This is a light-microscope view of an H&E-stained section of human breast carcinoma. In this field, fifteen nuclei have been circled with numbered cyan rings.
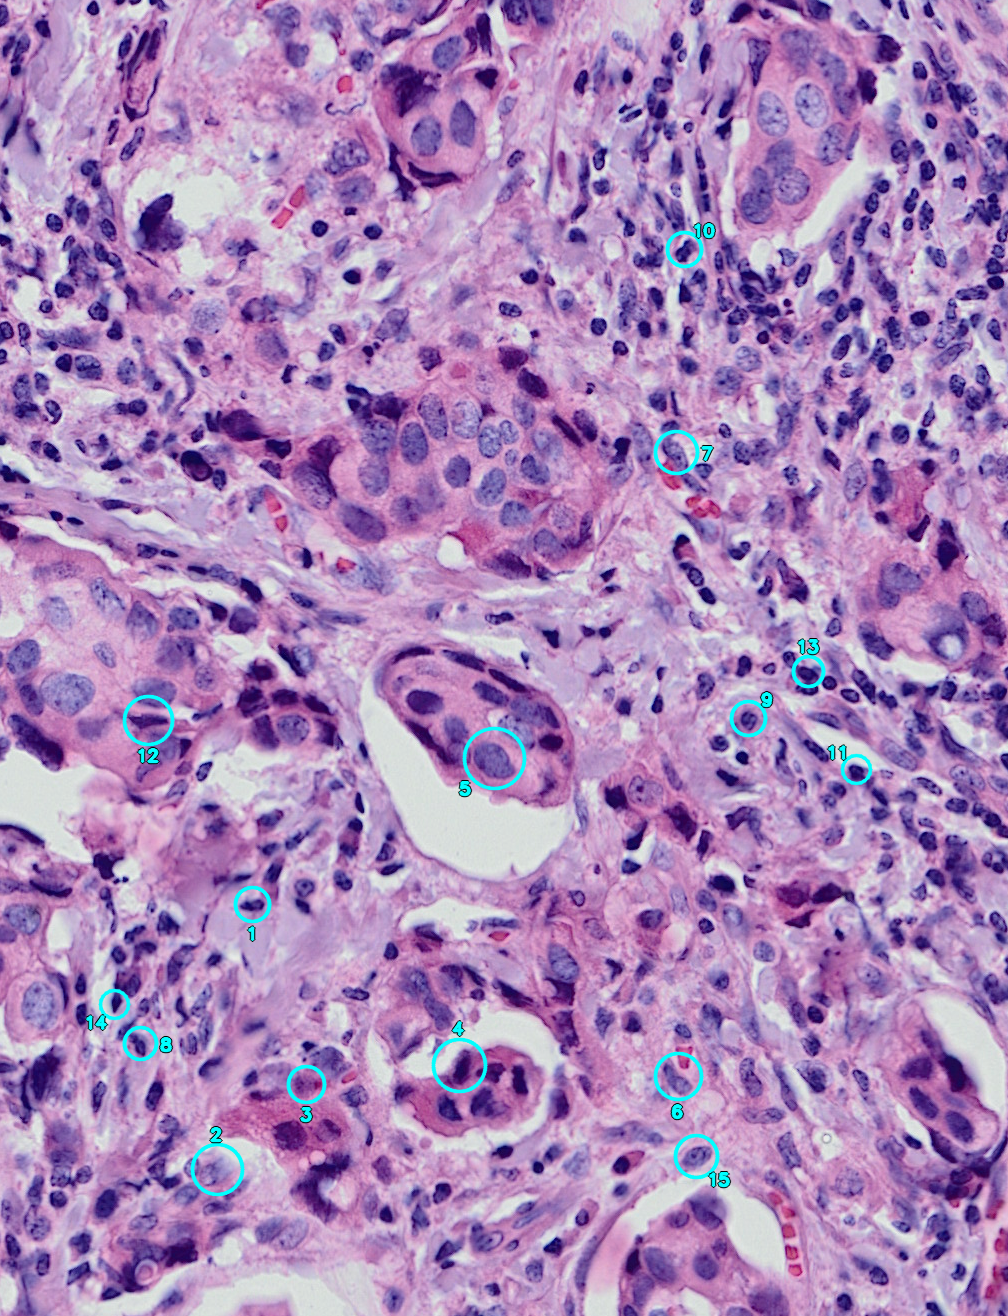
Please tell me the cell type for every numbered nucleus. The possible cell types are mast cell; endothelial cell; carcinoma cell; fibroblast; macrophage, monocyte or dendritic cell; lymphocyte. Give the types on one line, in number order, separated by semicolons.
lymphocyte; endothelial cell; endothelial cell; carcinoma cell; carcinoma cell; endothelial cell; endothelial cell; lymphocyte; mast cell; lymphocyte; lymphocyte; carcinoma cell; lymphocyte; lymphocyte; mast cell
